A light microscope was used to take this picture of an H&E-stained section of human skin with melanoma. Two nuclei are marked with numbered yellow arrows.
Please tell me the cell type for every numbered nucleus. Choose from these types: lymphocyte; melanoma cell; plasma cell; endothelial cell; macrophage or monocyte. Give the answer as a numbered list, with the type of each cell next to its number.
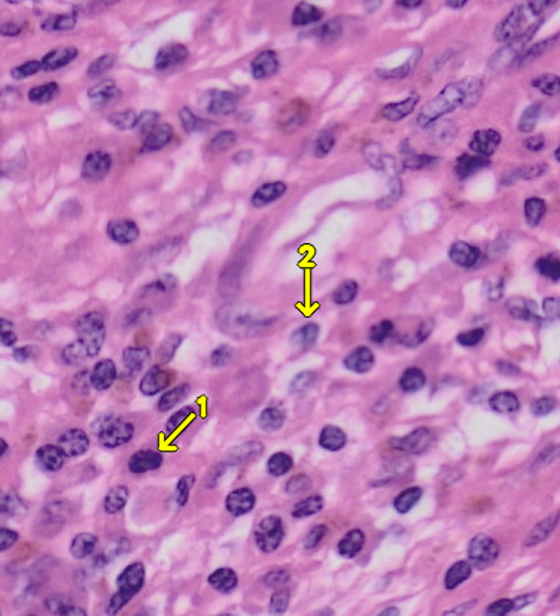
1. plasma cell
2. lymphocyte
